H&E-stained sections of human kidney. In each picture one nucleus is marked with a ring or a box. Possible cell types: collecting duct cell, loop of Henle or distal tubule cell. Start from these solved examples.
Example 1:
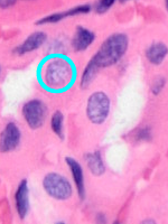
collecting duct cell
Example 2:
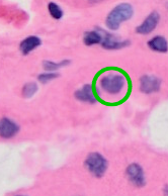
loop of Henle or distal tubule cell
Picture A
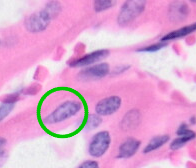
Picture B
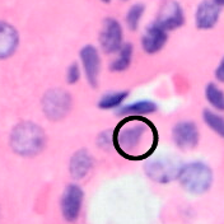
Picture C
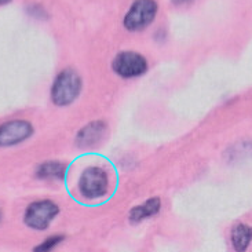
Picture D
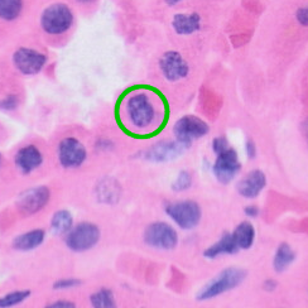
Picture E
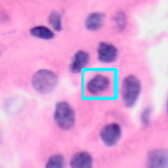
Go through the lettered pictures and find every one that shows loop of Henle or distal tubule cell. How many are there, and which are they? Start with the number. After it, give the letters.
Count: 3 (C, D, E)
